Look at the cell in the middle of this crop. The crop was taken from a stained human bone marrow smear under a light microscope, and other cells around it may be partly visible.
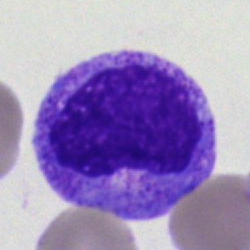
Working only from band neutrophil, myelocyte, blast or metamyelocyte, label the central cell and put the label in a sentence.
Seen at the centre of the crop is a metamyelocyte.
